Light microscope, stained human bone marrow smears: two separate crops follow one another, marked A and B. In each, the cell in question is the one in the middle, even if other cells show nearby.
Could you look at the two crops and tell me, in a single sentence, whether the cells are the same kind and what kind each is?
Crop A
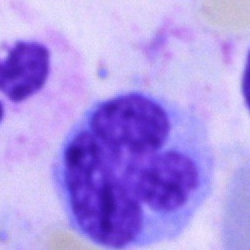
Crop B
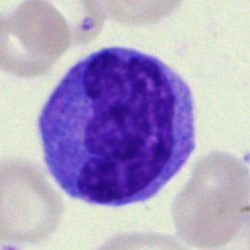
Yes, both crops do show monocytes in the middle.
